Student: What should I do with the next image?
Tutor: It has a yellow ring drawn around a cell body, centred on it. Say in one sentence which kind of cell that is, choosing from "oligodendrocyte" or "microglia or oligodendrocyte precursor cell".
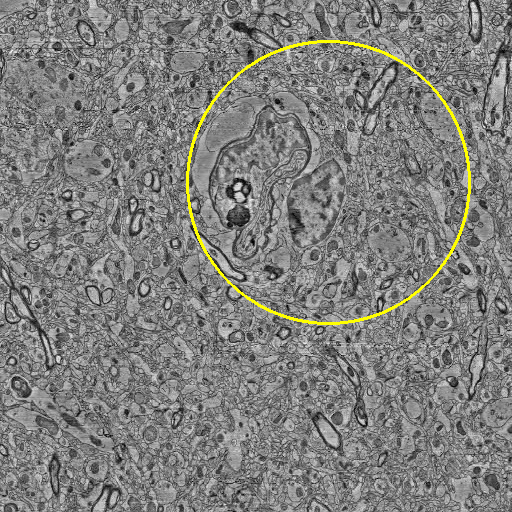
The ring's centre is occupied by a microglial cell or oligodendrocyte precursor cell.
